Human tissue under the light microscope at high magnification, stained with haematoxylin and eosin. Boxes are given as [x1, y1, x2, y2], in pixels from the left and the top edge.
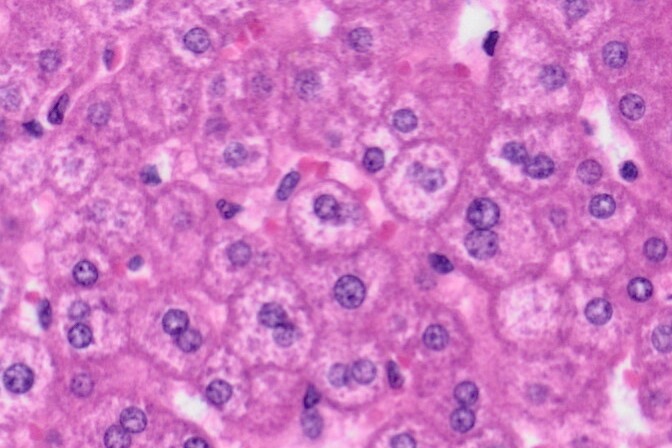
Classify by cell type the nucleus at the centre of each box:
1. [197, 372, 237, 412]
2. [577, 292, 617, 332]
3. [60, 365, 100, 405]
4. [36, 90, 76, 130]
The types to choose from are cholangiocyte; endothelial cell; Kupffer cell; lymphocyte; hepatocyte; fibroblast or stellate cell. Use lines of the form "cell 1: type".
cell 1: hepatocyte
cell 2: hepatocyte
cell 3: hepatocyte
cell 4: Kupffer cell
